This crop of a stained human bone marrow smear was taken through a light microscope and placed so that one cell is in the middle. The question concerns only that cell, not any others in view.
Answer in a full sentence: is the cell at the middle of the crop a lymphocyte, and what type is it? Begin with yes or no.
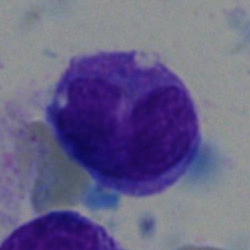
No, the central cell is not a lymphocyte; it is a monocyte instead.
